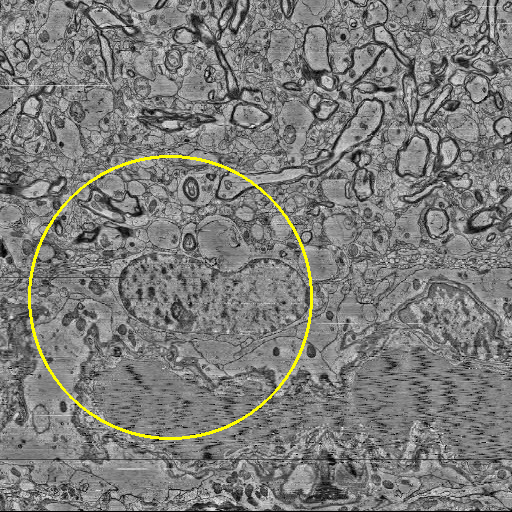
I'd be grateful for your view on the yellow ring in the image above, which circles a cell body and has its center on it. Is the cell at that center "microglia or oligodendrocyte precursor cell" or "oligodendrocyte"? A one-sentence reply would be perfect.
The cell at the center of the yellow ring is a microglial cell or oligodendrocyte precursor cell.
